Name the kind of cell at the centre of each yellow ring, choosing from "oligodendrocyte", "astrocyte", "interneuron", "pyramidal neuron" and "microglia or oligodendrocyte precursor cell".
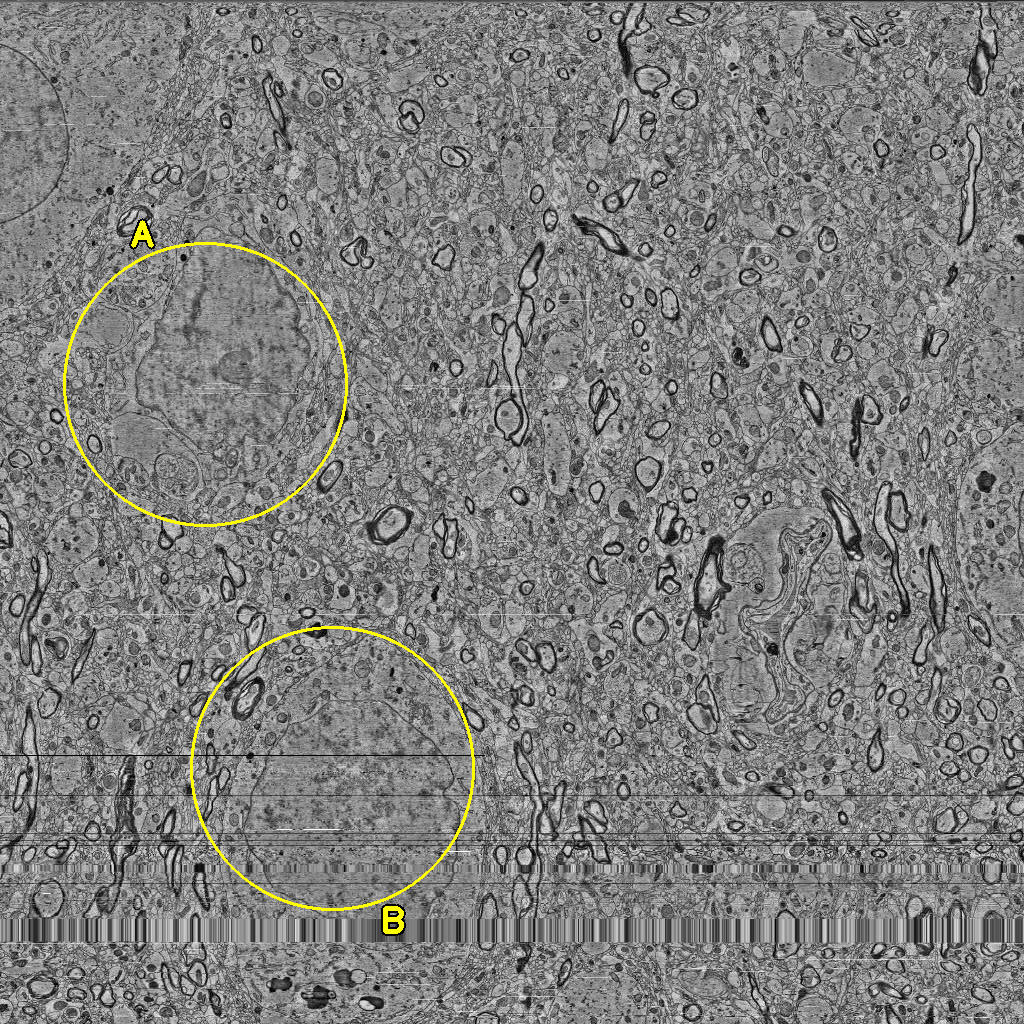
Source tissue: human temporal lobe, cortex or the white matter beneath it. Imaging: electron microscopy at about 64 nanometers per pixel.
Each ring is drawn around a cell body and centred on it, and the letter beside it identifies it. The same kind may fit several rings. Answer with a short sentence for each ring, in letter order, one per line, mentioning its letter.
Ring A is drawn around an interneuron.
Ring B is drawn around a pyramidal neuron.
